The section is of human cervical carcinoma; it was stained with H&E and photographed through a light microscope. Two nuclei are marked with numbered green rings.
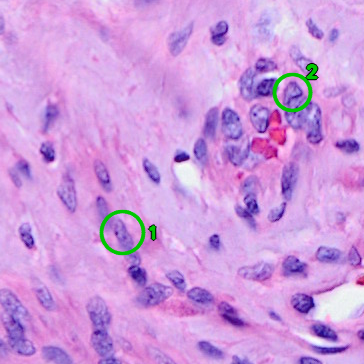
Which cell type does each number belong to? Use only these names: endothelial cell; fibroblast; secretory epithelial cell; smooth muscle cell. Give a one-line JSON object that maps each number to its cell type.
{"1": "smooth muscle cell", "2": "endothelial cell"}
